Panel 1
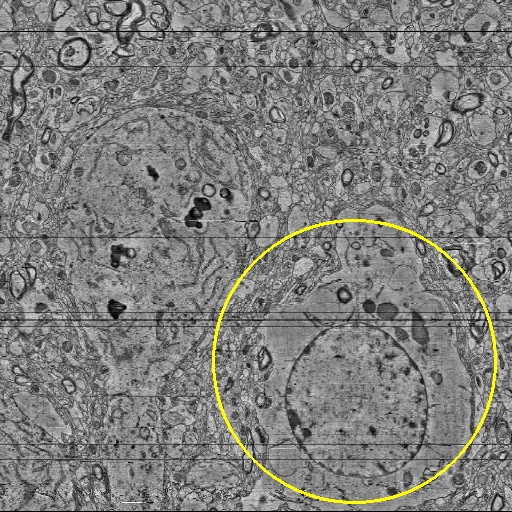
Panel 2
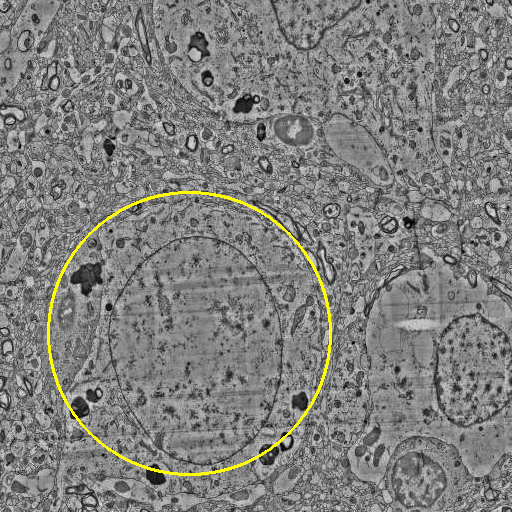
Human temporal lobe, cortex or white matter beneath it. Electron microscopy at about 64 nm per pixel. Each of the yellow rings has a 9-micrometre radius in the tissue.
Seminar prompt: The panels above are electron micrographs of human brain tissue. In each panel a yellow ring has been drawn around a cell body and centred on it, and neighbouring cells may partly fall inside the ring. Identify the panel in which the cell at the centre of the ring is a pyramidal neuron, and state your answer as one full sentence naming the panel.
Panel 2 has it at the centre of its ring.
